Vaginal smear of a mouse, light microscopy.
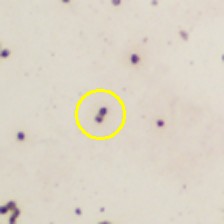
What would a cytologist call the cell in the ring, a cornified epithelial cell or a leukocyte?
A cytologist would call it a leukocyte.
